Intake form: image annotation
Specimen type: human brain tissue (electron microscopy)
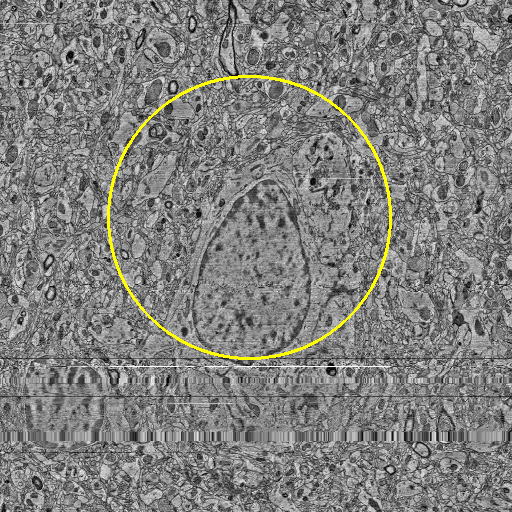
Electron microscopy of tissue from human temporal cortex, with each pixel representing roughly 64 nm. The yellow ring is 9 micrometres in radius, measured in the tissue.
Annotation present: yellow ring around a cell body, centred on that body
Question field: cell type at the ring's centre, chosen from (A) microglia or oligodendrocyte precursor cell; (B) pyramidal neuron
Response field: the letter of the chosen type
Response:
A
